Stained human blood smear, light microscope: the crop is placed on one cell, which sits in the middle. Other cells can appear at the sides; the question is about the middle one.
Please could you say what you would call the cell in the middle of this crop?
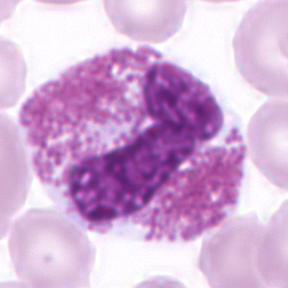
eosinophil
